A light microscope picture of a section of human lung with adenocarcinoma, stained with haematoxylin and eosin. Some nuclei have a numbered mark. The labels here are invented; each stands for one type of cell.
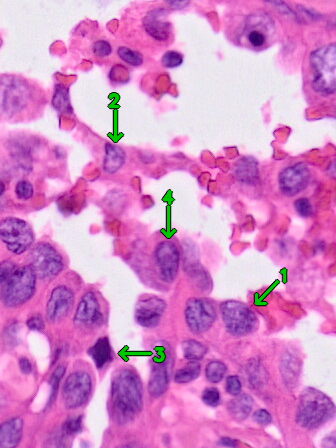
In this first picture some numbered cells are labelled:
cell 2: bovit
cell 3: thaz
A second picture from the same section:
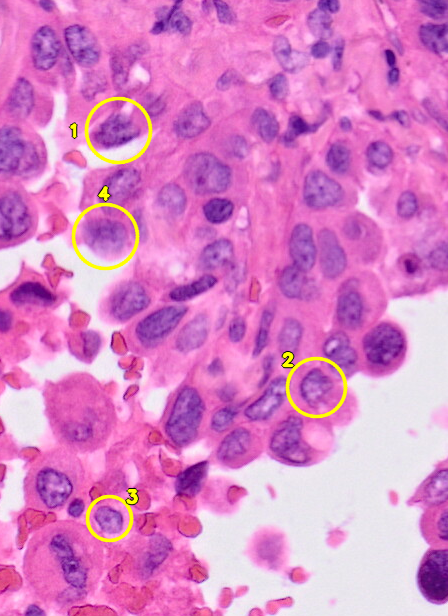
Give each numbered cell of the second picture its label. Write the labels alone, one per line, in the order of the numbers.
thaz
thaz
bovit
thaz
